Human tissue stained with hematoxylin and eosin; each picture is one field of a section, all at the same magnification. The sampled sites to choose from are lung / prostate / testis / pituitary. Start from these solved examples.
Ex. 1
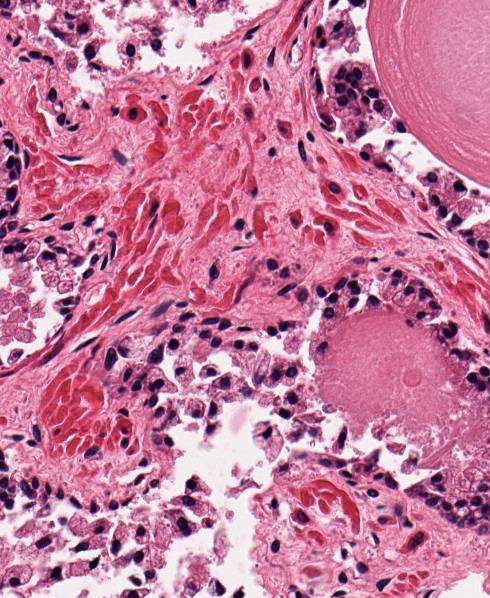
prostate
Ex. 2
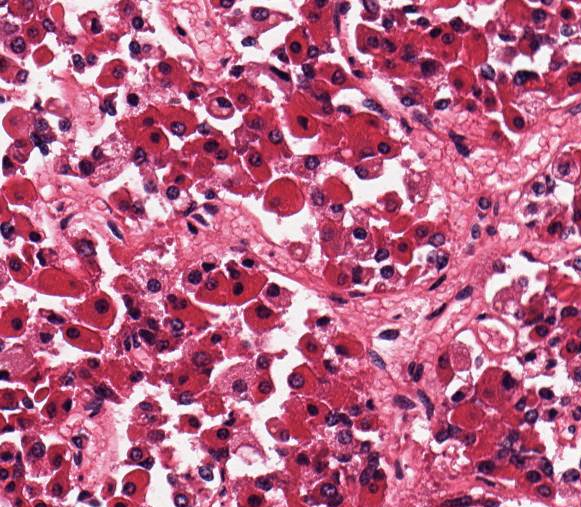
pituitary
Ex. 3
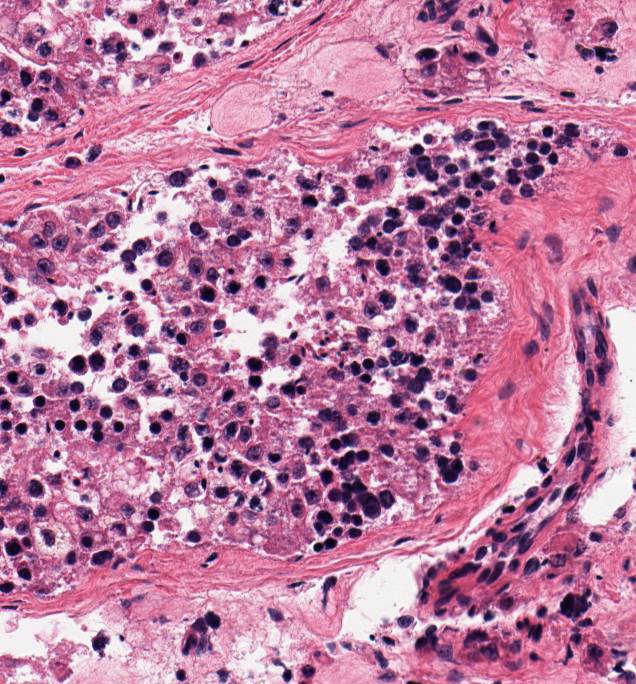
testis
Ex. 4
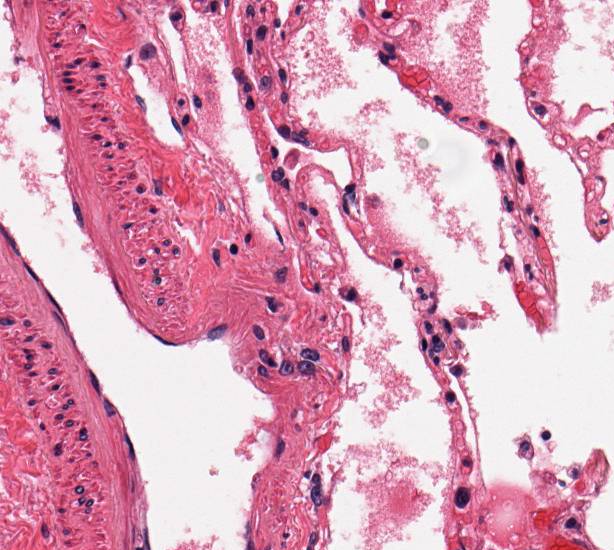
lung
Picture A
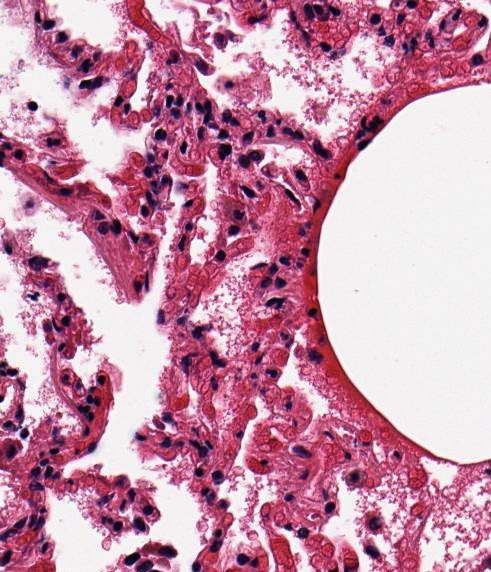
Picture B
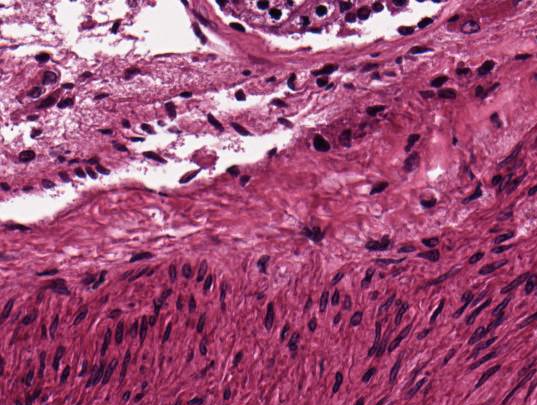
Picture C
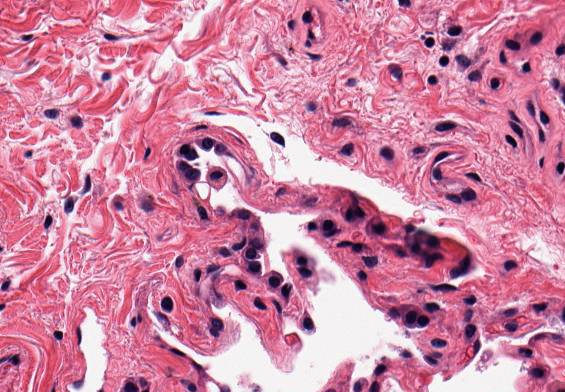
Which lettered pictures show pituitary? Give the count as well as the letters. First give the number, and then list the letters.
0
